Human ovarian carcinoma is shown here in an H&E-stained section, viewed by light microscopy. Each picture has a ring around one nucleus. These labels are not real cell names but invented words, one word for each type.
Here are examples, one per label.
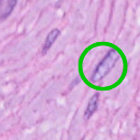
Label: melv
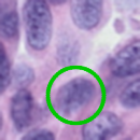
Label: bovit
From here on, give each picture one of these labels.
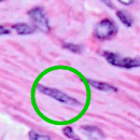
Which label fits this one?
melv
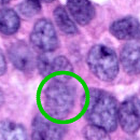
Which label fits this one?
bovit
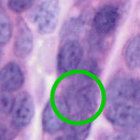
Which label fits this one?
bovit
